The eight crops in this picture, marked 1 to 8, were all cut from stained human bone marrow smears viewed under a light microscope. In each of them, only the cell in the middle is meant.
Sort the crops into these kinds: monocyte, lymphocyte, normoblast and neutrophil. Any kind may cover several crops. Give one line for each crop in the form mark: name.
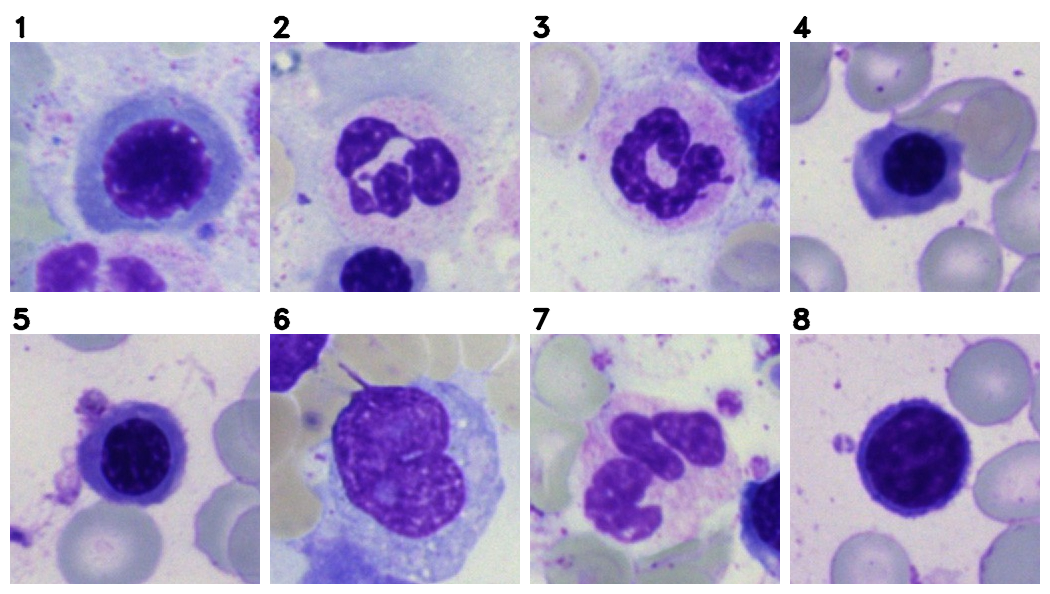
1: normoblast
2: neutrophil
3: neutrophil
4: normoblast
5: normoblast
6: monocyte
7: neutrophil
8: lymphocyte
